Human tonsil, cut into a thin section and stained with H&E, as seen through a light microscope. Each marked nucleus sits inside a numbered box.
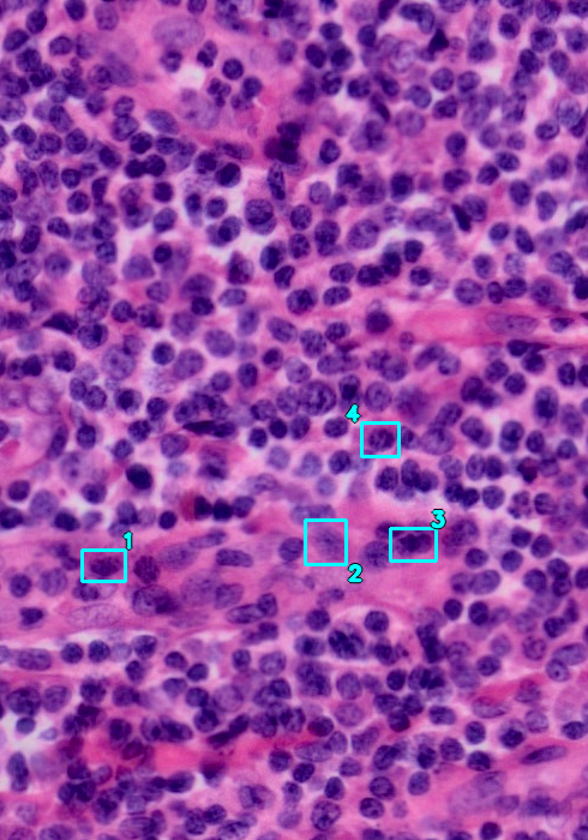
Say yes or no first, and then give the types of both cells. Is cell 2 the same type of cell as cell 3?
Yes, both are endothelial cells.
